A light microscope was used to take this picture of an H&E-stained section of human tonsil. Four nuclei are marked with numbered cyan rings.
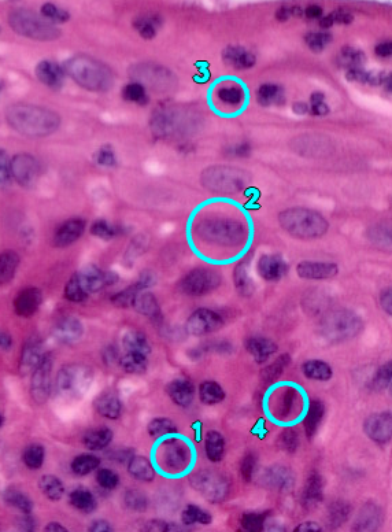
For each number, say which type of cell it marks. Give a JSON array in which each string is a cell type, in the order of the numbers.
["plasma cell", "squamous epithelial cell", "squamous epithelial cell", "squamous epithelial cell"]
